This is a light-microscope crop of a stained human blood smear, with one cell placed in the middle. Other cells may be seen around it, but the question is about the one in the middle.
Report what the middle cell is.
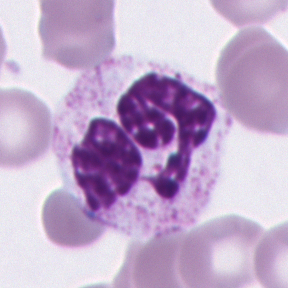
segmented neutrophil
